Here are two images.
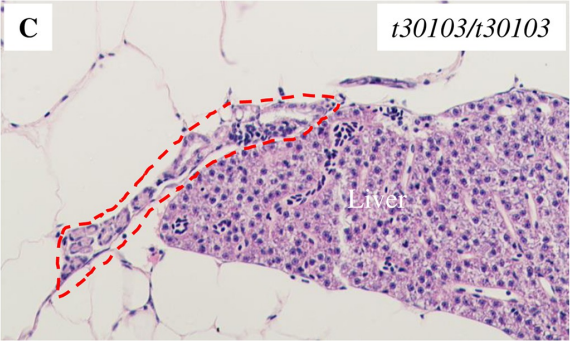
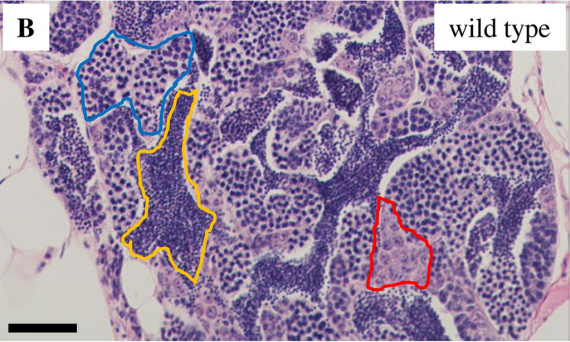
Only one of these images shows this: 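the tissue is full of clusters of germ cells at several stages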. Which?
The second image.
